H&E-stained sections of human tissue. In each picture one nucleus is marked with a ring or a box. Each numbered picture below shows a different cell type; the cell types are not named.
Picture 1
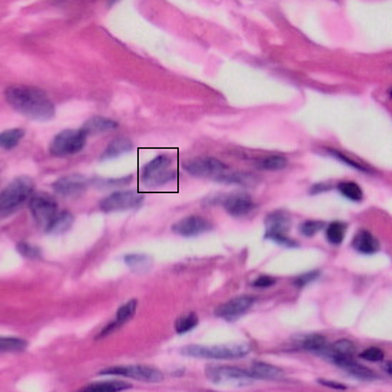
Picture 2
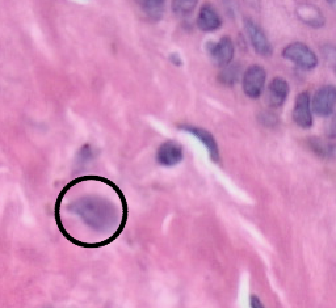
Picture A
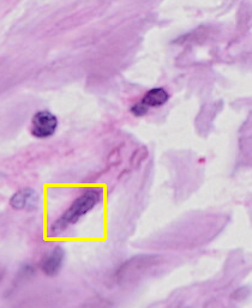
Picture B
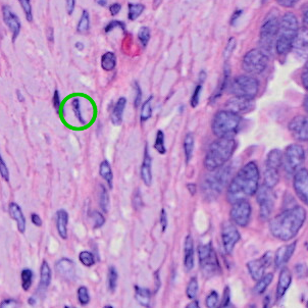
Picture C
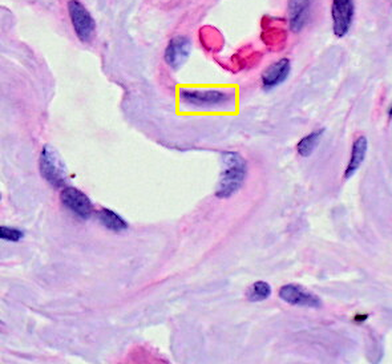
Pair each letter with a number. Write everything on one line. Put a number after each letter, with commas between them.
A 1, B 2, C 1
